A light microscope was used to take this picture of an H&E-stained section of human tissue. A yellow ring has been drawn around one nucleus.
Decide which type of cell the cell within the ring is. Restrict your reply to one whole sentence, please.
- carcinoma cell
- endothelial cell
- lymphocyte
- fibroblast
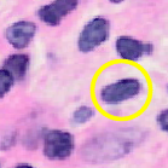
So far as cell type goes, the cell within the ring is a lymphocyte.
